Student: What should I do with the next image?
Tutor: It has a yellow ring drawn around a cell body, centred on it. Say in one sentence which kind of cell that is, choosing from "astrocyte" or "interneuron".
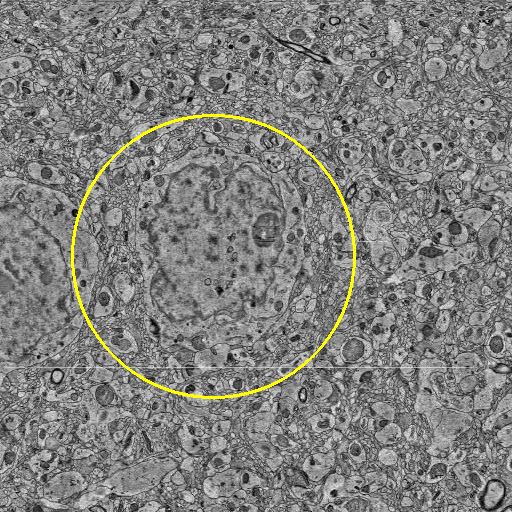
The ring's centre is occupied by an interneuron.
